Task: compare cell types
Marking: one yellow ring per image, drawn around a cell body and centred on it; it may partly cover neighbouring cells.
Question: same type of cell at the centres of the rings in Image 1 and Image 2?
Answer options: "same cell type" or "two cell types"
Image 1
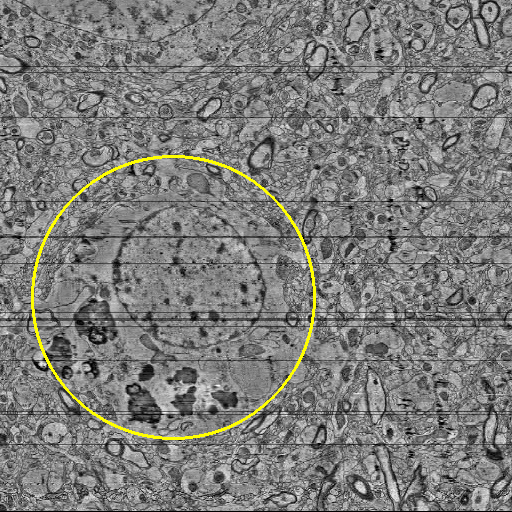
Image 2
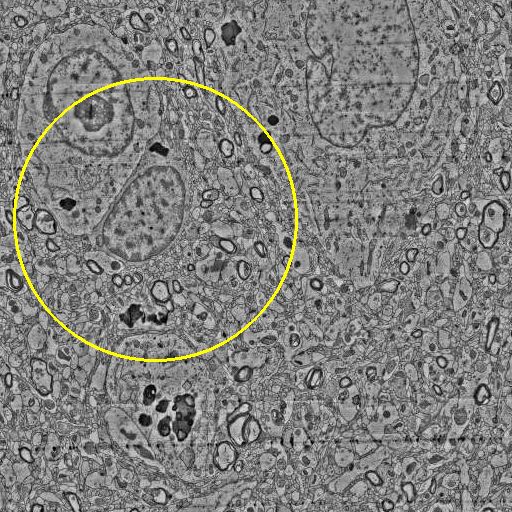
two cell types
